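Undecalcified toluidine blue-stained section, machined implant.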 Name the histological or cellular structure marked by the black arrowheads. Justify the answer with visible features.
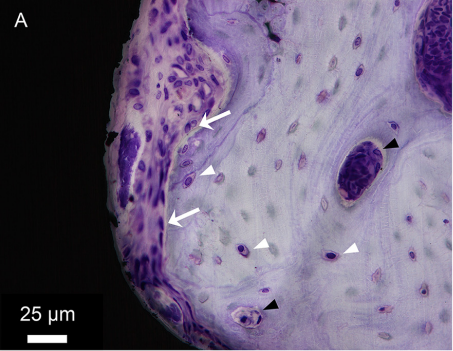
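The marked structures are canals inside the bone containing cells. One canal is oval and filled with dark-stained cells.
Conclusion: Blood vessels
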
